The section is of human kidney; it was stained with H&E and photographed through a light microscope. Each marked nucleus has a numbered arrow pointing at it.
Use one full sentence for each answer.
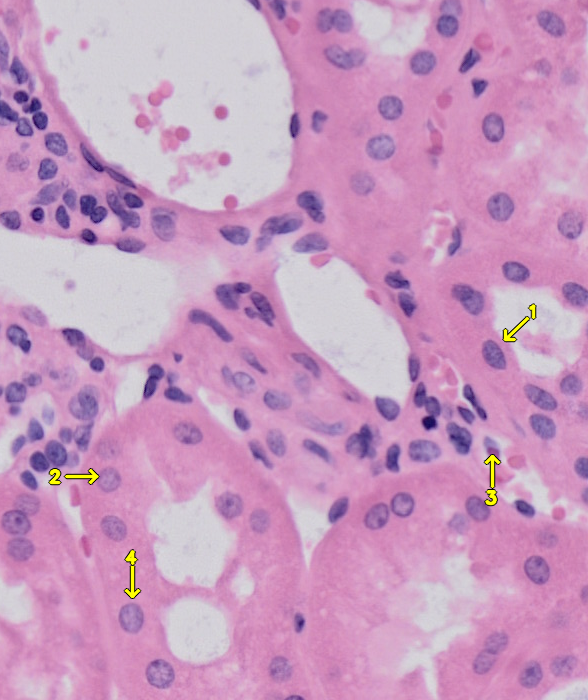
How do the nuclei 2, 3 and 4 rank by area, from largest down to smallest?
By area, largest first, they run 4, 2, 3.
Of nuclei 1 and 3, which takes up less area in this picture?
With nucleus 1 about 2 times its size, nucleus 3 is the smaller of the two.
